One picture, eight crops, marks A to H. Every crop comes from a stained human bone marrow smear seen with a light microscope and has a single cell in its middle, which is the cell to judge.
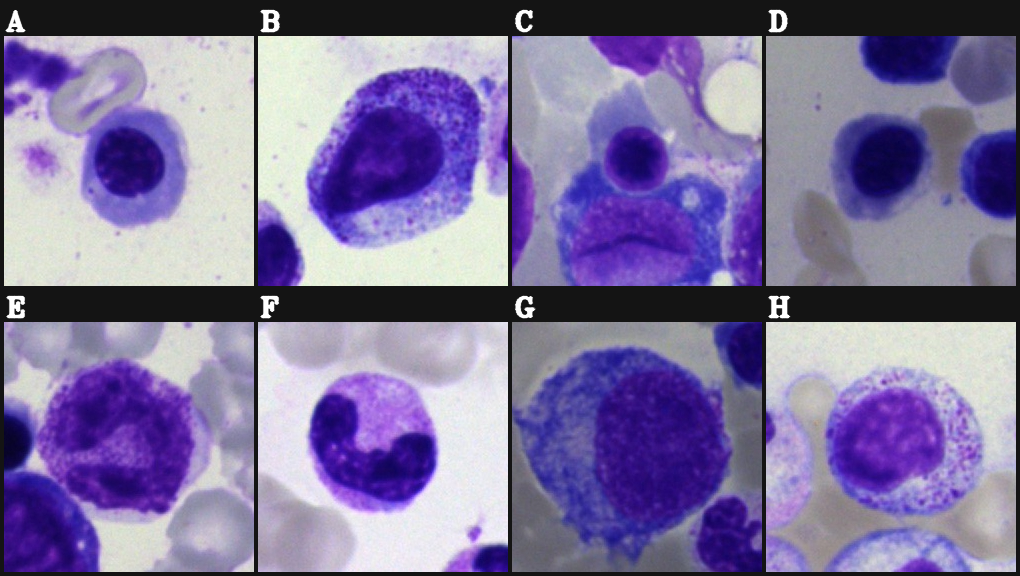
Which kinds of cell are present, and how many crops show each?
normoblast: 3
promyelocyte: 2
band neutrophil: 2
myelocyte: 1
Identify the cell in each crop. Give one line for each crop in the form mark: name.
A: normoblast
B: promyelocyte
C: normoblast
D: normoblast
E: band neutrophil
F: band neutrophil
G: promyelocyte
H: myelocyte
